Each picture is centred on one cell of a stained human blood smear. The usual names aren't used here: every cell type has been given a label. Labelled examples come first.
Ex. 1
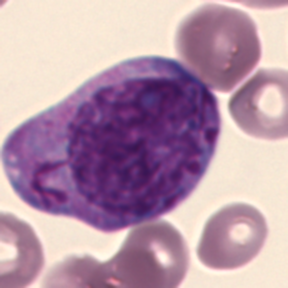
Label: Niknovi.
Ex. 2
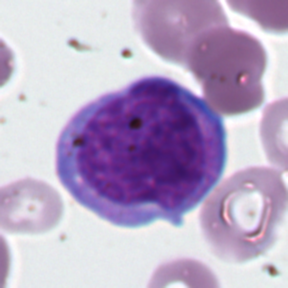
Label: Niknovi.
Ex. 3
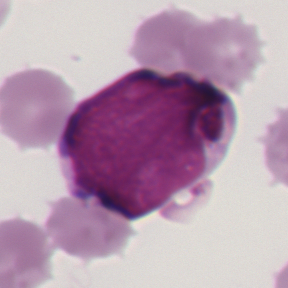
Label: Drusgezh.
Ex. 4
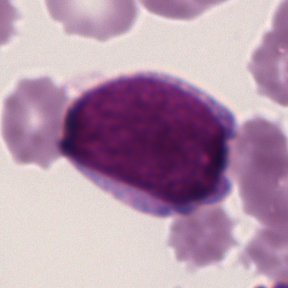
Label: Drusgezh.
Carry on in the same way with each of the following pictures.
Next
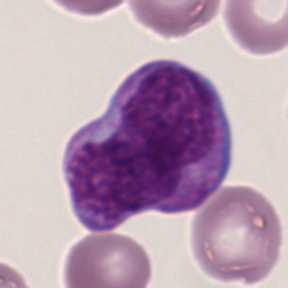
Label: Niknovi.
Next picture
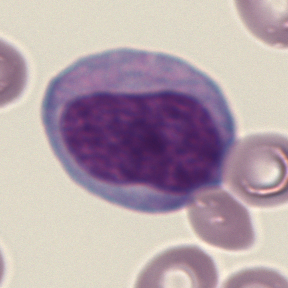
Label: Niknovi.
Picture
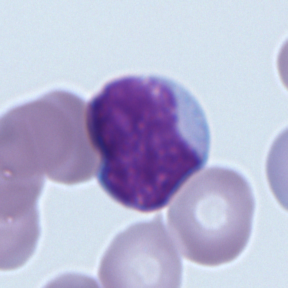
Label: Drusgezh.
